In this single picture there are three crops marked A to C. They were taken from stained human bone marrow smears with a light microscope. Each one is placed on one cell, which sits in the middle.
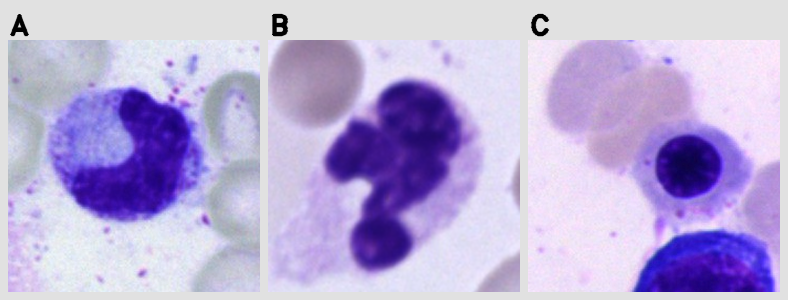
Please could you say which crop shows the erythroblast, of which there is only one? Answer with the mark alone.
C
